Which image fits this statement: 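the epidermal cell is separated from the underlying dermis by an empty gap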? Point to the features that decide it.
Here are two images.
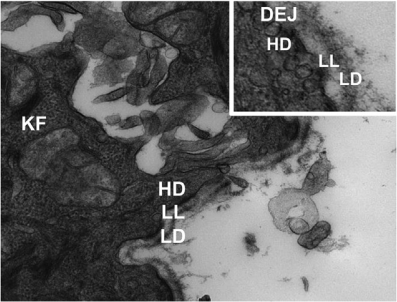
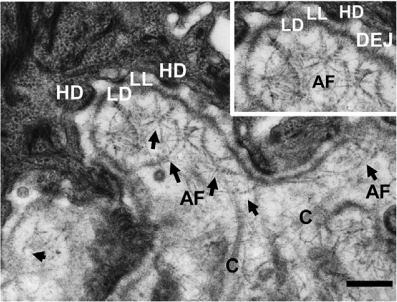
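Second image: the basement membrane is directly bordered below by a meshwork of fibrils and collagen fibres. First image: below the basement membrane there is a large empty space with only loose fragments.
Hence: the first image.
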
